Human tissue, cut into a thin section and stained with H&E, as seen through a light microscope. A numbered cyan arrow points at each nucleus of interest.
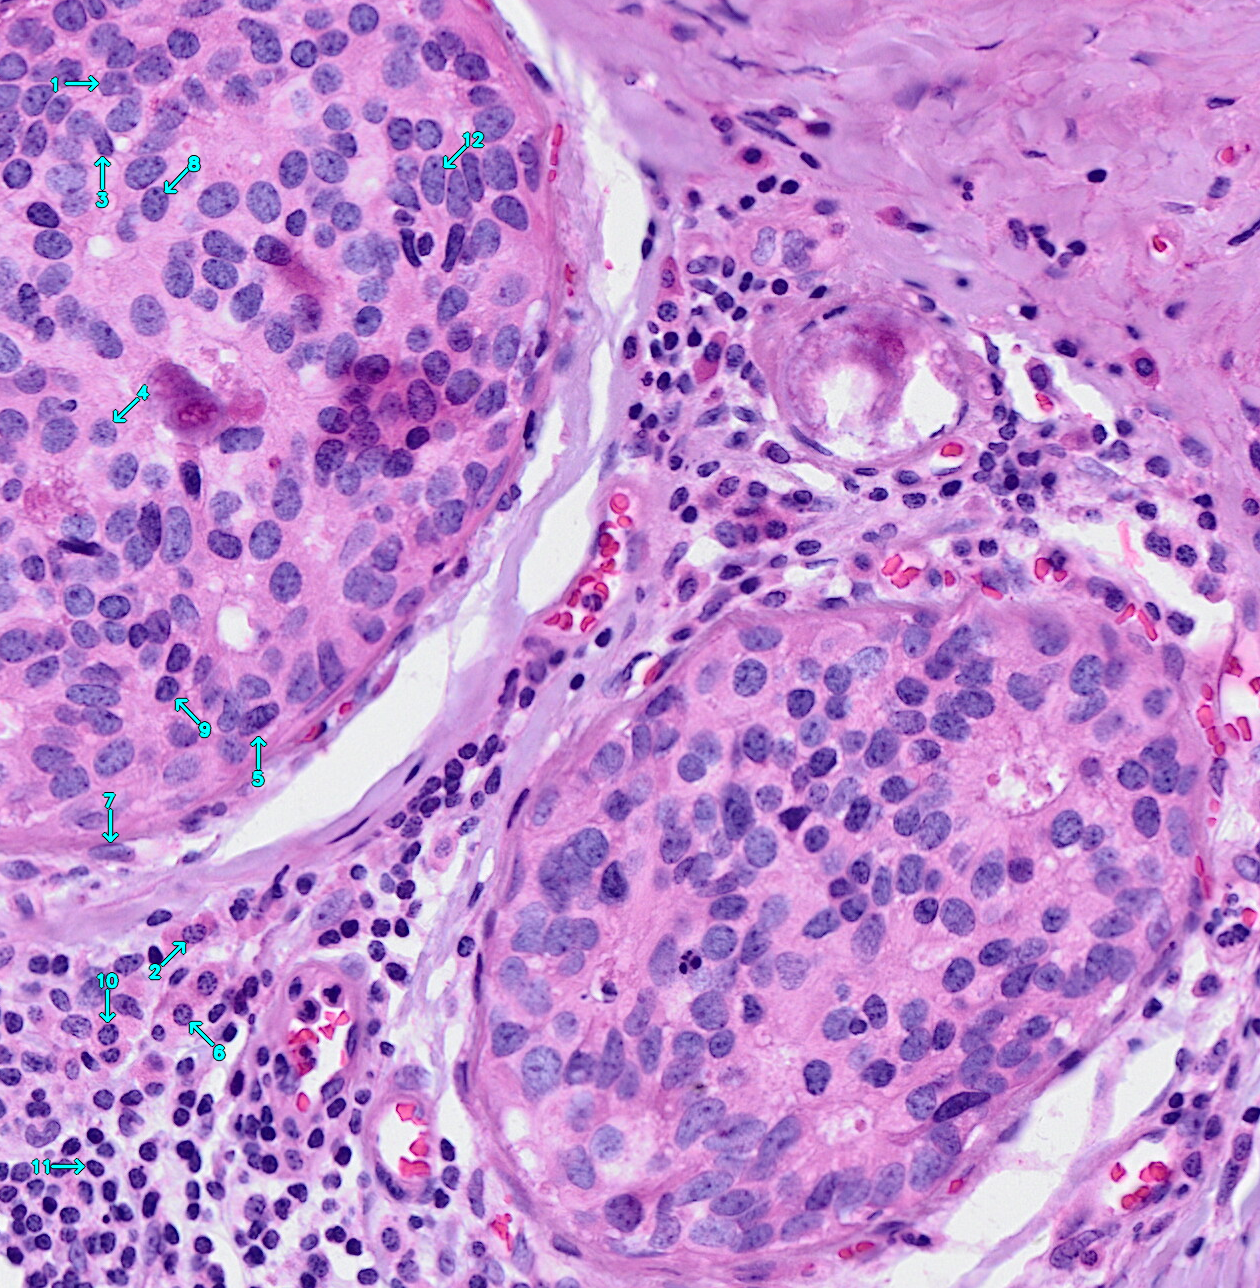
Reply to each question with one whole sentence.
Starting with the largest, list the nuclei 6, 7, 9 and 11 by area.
The nuclei rank 7, 9, 6, 11, from largest to smallest.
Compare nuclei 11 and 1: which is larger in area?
Nucleus 1 is the larger one, covering about 2.5 times the area of nucleus 11.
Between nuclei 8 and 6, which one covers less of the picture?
Nucleus 6 covers less area, with nucleus 8 about 1.5 times as large.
